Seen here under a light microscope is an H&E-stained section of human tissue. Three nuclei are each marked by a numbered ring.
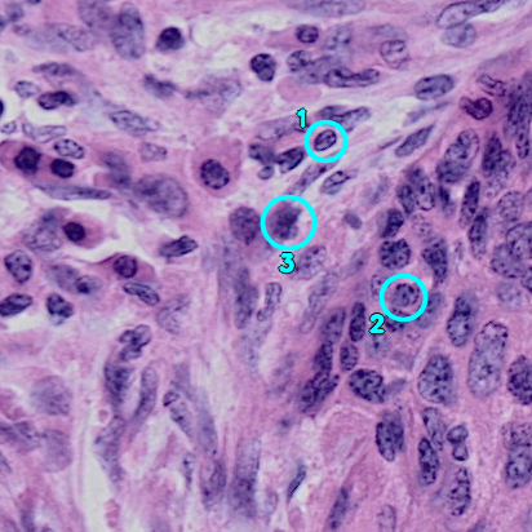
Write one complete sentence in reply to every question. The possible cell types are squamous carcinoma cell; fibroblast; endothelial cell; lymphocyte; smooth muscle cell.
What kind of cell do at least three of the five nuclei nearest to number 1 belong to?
The majority of the five nuclei closest to number 1 belong to lymphocytes.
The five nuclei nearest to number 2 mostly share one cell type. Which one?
The majority of the five nuclei closest to number 2 belong to squamous carcinoma cells.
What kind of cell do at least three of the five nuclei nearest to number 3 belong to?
Most of the five nuclei nearest to number 3 are those of fibroblasts.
